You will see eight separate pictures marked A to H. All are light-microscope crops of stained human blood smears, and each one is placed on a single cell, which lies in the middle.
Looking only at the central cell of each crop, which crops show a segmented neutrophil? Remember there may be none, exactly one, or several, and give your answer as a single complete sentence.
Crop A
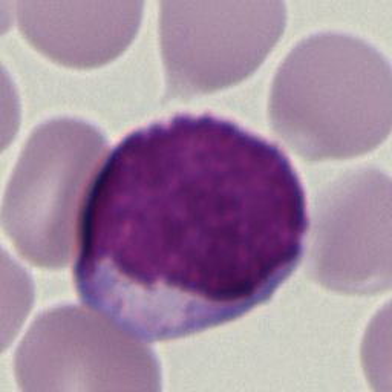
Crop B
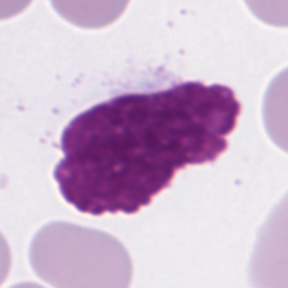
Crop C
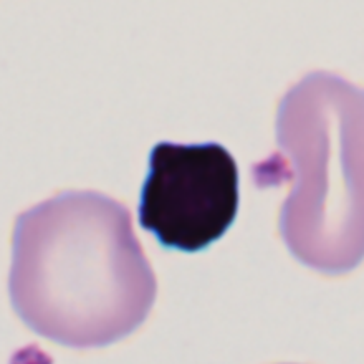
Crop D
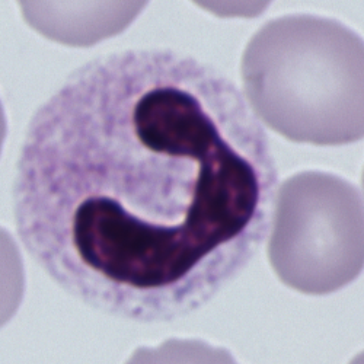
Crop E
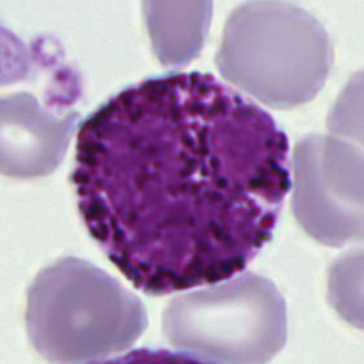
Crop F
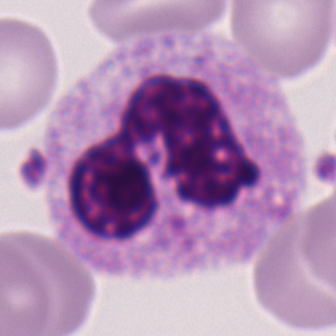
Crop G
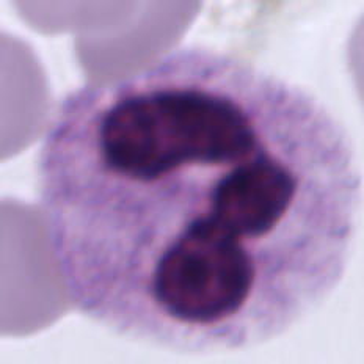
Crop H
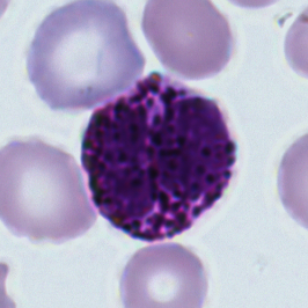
The cells at the centre of the crops labelled D, F and G are segmented neutrophils.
